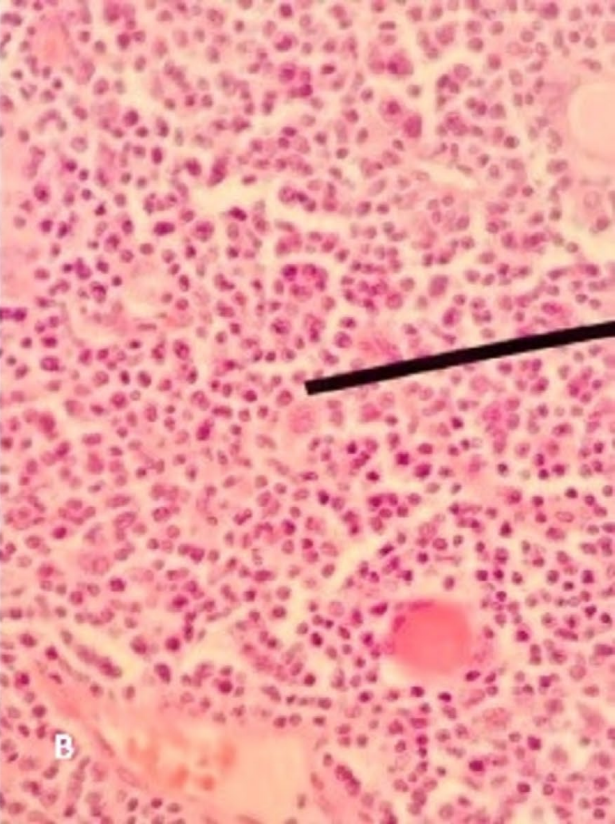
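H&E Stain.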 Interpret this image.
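This tissue section is replaced by a diffuse sheet of large atypical lymphoid cells packed closely together without any organised architecture. The cells are round and discohesive, with round to oval nuclei of varying size and shape and only scant pink cytoplasm. Some nuclei appear pale and open, and a few small vessels and a round pink hyaline globule lie among the cells.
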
